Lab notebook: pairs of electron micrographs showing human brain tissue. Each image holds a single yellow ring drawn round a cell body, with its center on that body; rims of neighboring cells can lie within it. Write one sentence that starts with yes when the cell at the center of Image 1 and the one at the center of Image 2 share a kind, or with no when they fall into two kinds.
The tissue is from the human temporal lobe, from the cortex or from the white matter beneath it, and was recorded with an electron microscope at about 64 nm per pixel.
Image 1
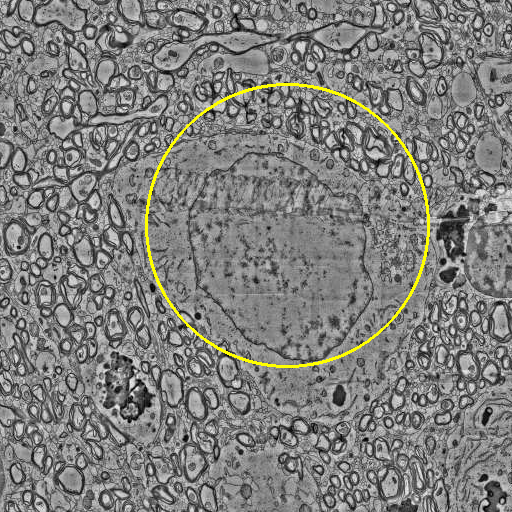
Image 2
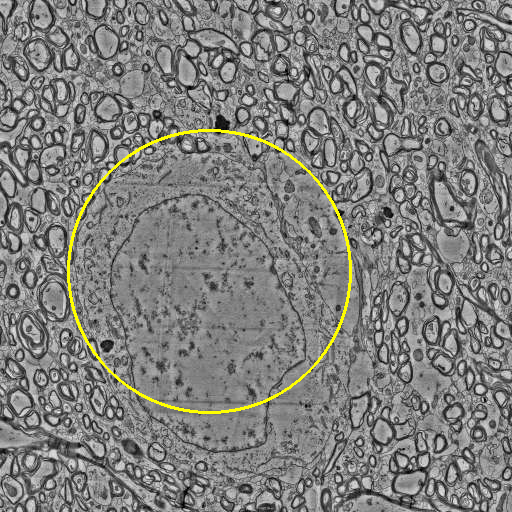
Yes, the centered cell in Image 1 and the centered cell in Image 2 are of one kind.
